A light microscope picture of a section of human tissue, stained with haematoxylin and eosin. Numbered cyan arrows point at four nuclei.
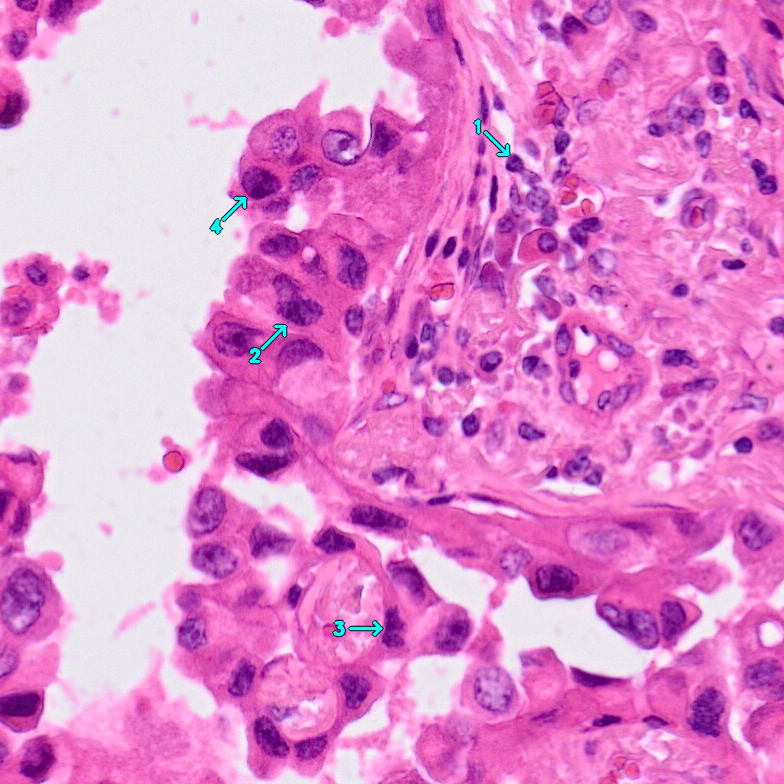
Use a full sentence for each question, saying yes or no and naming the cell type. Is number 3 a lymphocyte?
No, cell 3 is classified as a carcinoma cell rather than a lymphocyte.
